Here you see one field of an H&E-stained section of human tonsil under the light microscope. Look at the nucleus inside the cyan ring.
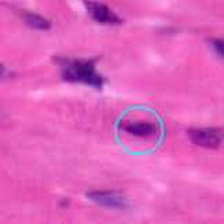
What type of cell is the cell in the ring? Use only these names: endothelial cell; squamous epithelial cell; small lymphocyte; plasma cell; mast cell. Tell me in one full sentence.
In the stained section, the cell in the ring is a mast cell.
